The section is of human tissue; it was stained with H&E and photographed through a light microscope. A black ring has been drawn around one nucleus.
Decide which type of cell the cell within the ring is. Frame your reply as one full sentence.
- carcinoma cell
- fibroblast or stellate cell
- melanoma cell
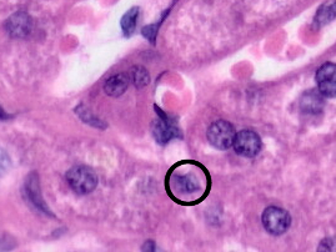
It is as a fibroblast or stellate cell that the cell within the ring is classified.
